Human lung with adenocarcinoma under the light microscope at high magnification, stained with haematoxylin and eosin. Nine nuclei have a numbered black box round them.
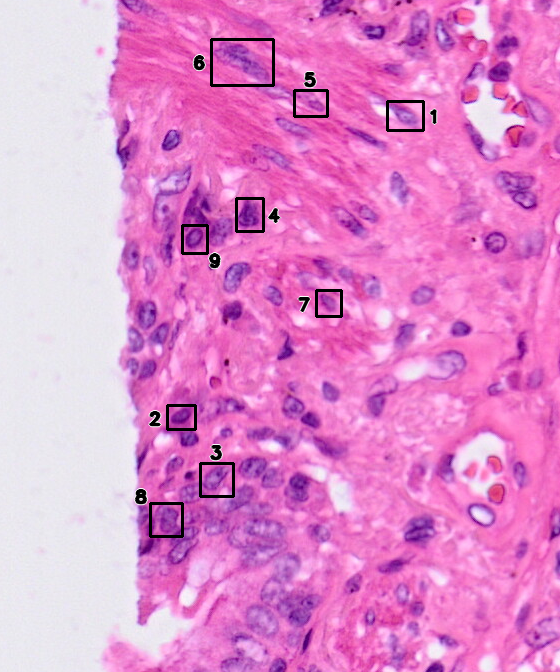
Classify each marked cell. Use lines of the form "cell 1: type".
cell 1: smooth muscle cell or pericyte
cell 2: plasma cell
cell 3: ciliated epithelial cell
cell 4: plasma cell
cell 5: smooth muscle cell or pericyte
cell 6: smooth muscle cell or pericyte
cell 7: smooth muscle cell or pericyte
cell 8: ciliated epithelial cell
cell 9: plasma cell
